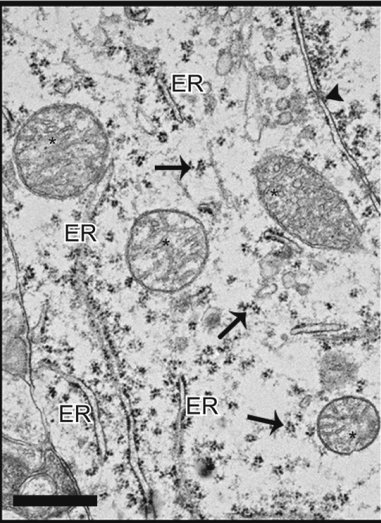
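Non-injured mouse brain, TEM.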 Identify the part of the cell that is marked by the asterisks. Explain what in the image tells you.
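Each asterisk lies in an oval body bounded by a double membrane. On this evidence: mitochondria.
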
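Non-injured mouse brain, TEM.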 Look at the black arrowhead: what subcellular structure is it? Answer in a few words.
Nuclear membrane.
